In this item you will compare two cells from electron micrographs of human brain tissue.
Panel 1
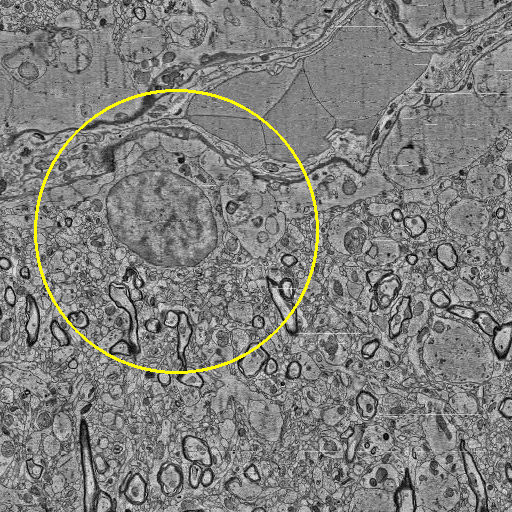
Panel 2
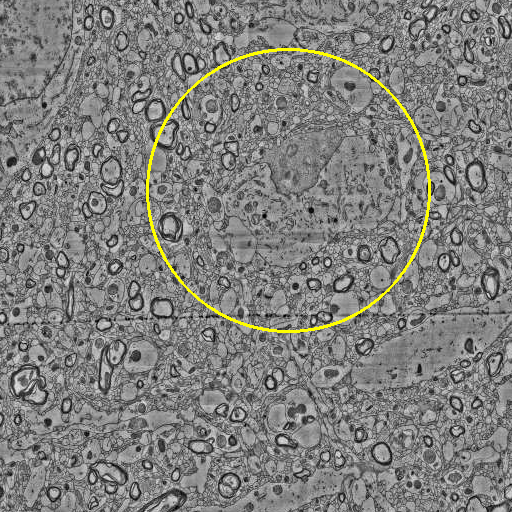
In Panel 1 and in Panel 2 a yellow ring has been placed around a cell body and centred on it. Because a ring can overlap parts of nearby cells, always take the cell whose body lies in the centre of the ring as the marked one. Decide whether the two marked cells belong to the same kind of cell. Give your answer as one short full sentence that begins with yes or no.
Yes, the two marked cells belong to the same kind of cell.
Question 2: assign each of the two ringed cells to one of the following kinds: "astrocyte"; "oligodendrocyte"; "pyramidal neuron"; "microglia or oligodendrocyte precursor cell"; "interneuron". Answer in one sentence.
The first and the second cell are each an oligodendrocyte.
